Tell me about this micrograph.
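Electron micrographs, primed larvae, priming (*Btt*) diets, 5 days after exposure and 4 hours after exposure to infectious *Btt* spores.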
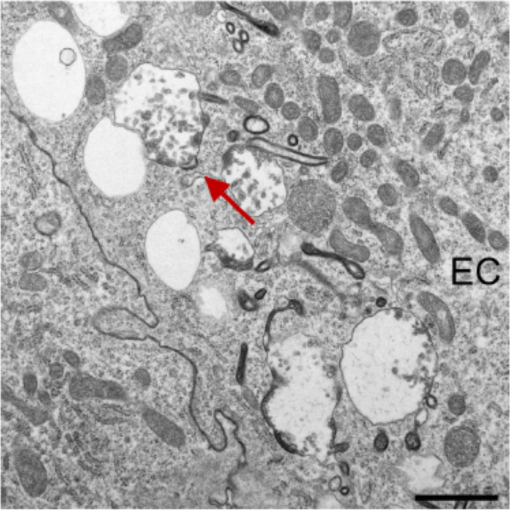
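This is the cytoplasm of a gut epithelial cell seen by transmission electron microscopy. It is crowded with mitochondria, some round and some elongated, with dense matrix and visible cristae. Scattered among them are several large, pale, membrane-bound intracellular vesicles; a few look nearly empty while others hold loose granular or flocculent material. Thin dark membrane profiles curve between the organelles, and a cell boundary winds across the left side of the field. The vesicles are much larger than the mitochondria and give the cytoplasm a vacuolated look.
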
